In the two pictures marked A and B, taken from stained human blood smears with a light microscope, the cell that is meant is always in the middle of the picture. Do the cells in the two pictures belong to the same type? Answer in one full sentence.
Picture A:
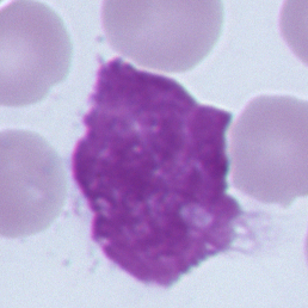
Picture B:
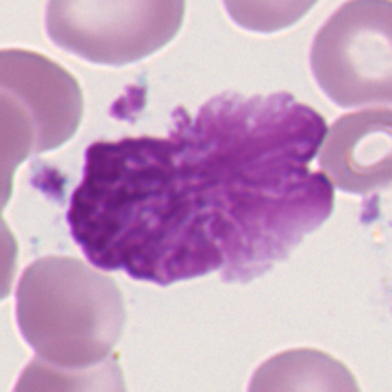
Yes; the cells in both pictures are smudge cells.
